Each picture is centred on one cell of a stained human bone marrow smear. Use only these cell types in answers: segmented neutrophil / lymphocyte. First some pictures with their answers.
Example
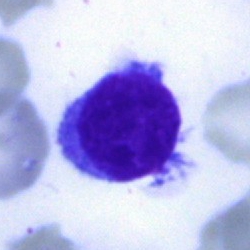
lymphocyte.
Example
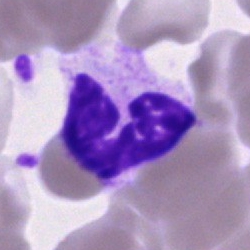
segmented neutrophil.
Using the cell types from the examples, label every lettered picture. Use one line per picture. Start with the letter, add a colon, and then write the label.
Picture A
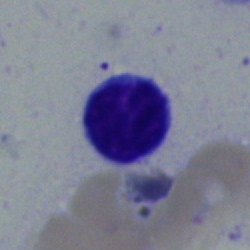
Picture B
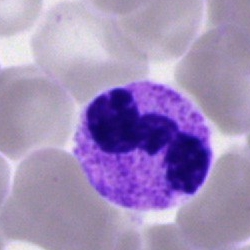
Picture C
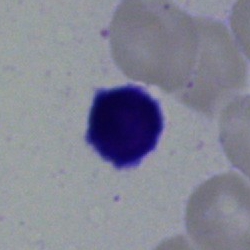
A: lymphocyte.
B: segmented neutrophil.
C: lymphocyte.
